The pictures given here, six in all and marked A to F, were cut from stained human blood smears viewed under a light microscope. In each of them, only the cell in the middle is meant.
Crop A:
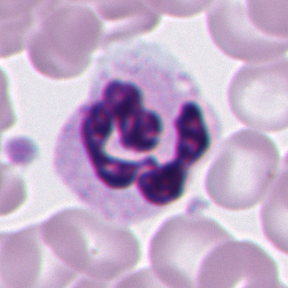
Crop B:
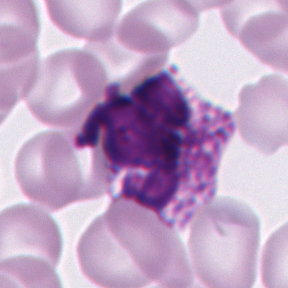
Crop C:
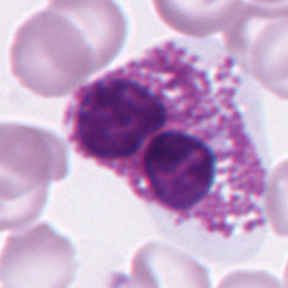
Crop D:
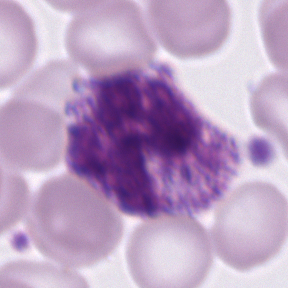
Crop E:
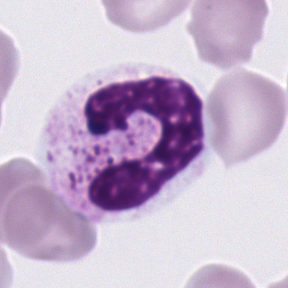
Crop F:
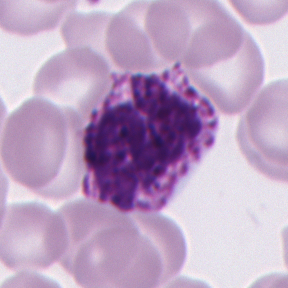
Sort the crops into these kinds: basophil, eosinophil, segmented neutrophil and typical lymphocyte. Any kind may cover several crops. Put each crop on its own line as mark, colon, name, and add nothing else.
A: segmented neutrophil
B: basophil
C: eosinophil
D: basophil
E: segmented neutrophil
F: basophil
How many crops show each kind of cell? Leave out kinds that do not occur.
basophil: 3
segmented neutrophil: 2
eosinophil: 1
